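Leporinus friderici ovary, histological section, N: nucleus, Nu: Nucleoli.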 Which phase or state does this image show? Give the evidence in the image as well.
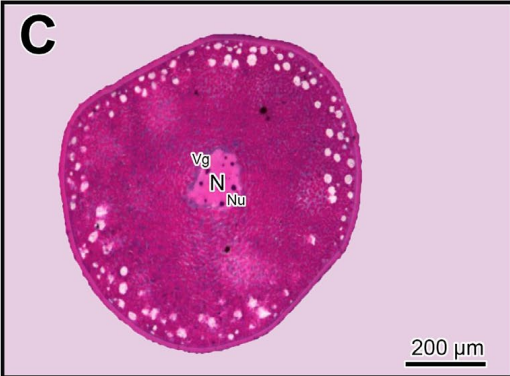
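Complete vitelogenic oocytes. Large oocyte whose cytoplasm is filled with pink granular material. Clear vesicles are confined to a thin peripheral rim. Small central nucleus.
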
